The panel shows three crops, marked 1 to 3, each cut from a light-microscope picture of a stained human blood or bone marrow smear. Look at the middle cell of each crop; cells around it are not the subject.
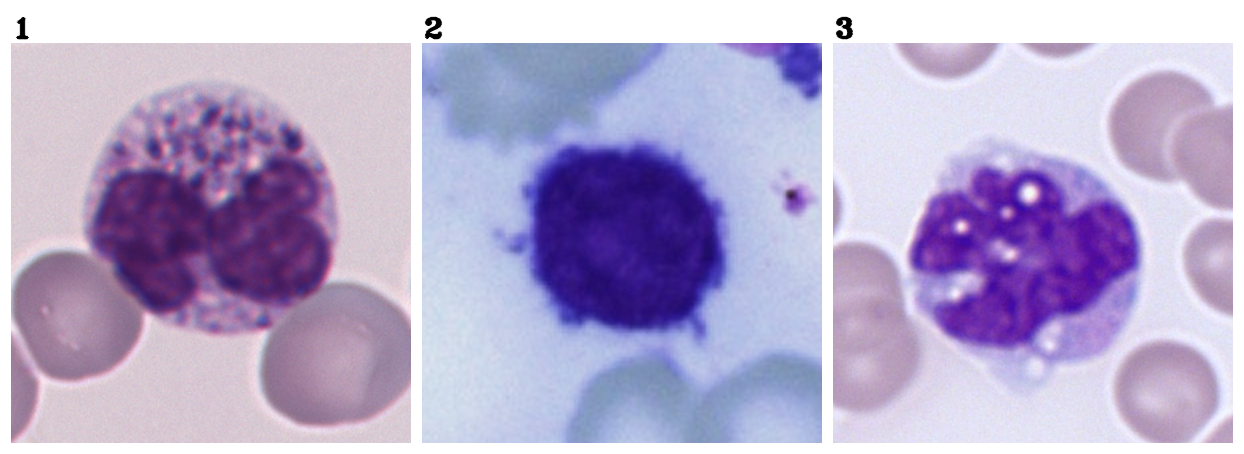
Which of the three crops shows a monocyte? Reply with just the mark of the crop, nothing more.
3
